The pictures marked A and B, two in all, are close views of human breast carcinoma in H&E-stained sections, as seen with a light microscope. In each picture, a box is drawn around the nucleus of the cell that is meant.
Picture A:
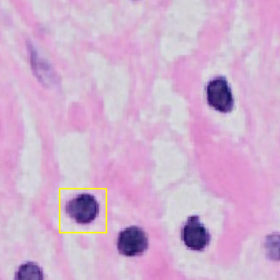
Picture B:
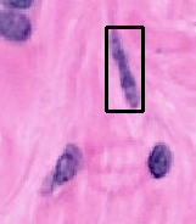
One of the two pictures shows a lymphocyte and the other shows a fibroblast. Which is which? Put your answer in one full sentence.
In picture A the cell is a lymphocyte; in picture B, a fibroblast.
